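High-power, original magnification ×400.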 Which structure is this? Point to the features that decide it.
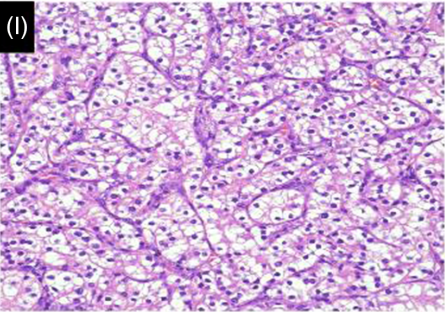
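Clusters of clear cells enclosed by thin pink septa. Some groups form small rounded tubule-like arrangements.
Conclusion: nested and tubular growth pattern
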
